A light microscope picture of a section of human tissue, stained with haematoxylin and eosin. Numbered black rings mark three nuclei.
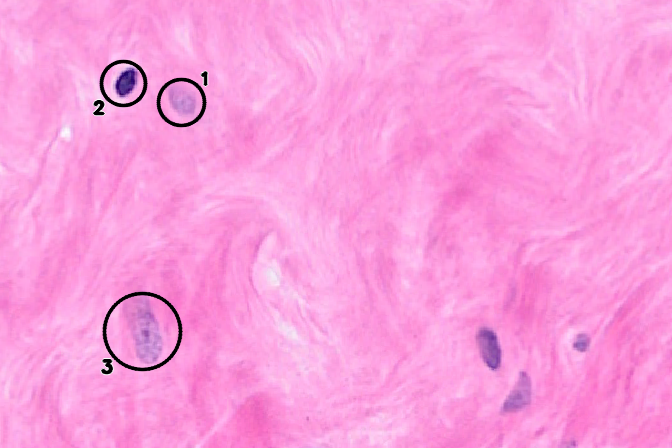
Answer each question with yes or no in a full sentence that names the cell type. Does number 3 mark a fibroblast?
Yes, the cell given number 3 is a fibroblast.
